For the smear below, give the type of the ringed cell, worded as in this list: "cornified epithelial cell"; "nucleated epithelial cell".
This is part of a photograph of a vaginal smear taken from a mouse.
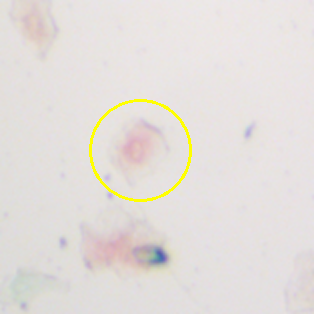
nucleated epithelial cell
